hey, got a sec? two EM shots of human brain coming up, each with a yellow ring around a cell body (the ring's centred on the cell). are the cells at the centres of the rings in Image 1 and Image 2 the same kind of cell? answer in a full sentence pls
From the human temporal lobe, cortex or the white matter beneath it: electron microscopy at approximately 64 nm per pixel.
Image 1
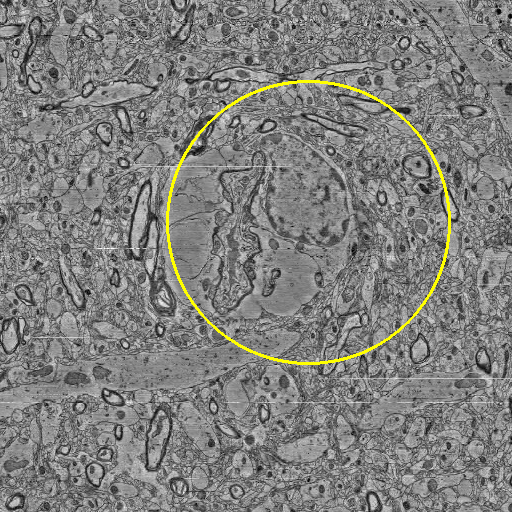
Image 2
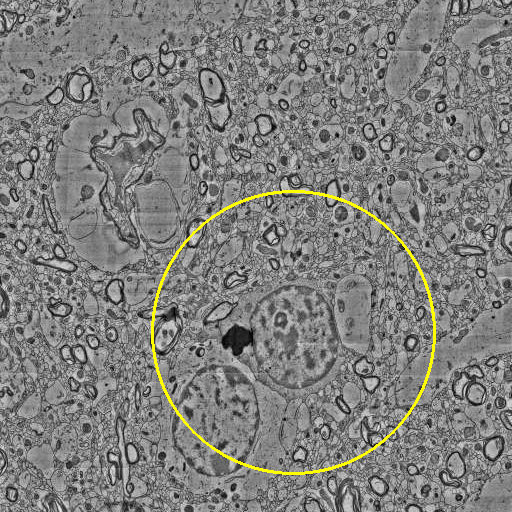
No, they are two kinds of cell.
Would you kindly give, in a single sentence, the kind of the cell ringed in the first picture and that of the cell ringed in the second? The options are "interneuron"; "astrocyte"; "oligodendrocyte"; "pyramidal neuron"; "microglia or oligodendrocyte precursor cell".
The second cell is an oligodendrocyte, and the first cell is a microglial cell or oligodendrocyte precursor cell.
